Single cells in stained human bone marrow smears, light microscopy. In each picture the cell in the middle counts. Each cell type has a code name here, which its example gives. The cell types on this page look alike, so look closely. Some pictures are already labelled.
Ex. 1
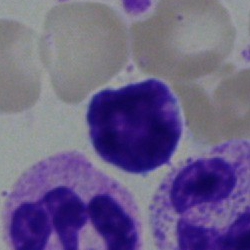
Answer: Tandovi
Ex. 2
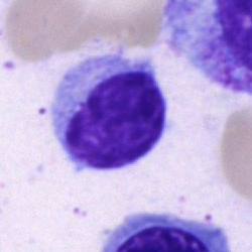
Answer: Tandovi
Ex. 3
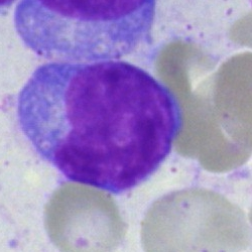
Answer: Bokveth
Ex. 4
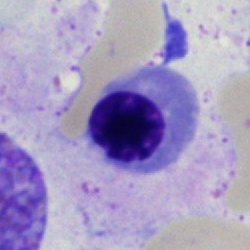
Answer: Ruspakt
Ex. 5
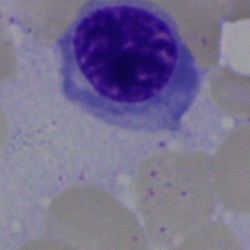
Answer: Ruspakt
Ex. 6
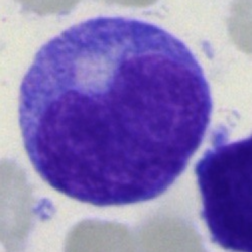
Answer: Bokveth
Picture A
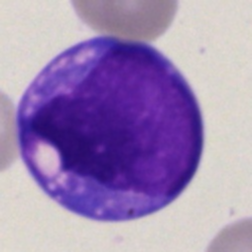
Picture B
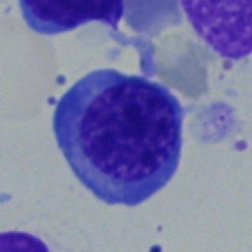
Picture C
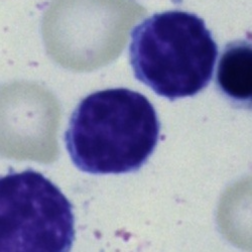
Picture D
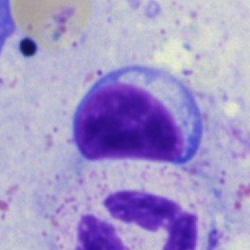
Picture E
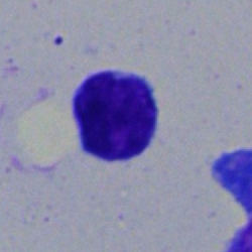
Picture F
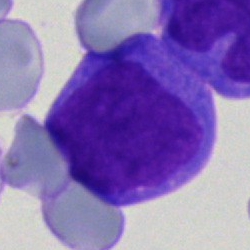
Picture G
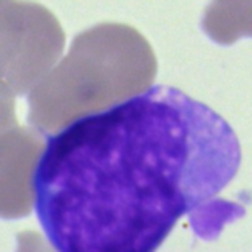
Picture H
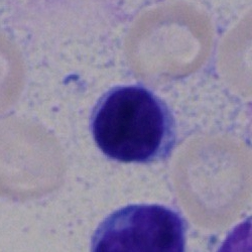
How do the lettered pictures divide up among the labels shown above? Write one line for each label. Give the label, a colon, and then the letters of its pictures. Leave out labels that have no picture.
Tandovi: C, D, E, H
Bokveth: A, F, G
Ruspakt: B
